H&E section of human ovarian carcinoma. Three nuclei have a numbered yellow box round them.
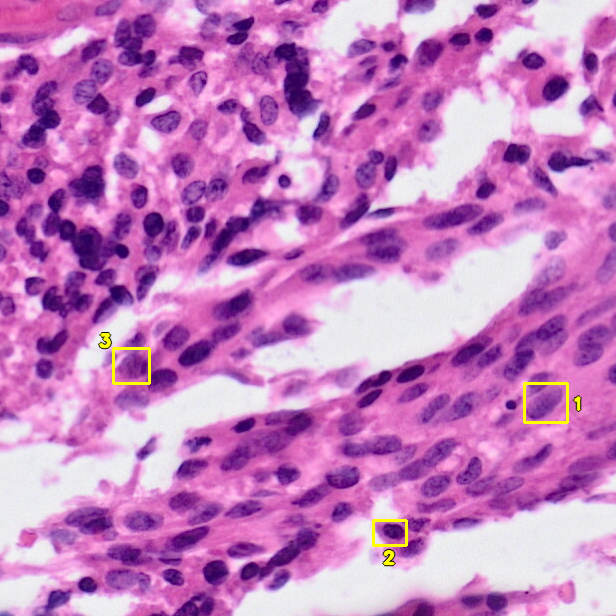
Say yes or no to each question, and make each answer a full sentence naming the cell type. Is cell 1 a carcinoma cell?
Yes, on this slide, the cell with number 1 is a carcinoma cell.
